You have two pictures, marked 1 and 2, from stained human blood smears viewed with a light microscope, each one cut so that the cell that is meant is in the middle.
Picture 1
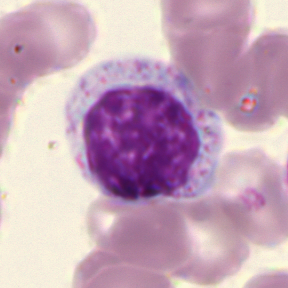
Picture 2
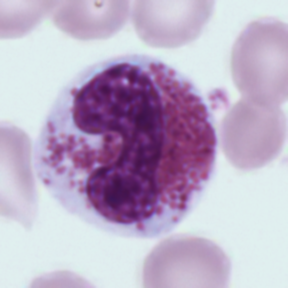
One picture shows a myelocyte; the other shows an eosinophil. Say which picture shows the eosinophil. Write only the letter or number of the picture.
2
